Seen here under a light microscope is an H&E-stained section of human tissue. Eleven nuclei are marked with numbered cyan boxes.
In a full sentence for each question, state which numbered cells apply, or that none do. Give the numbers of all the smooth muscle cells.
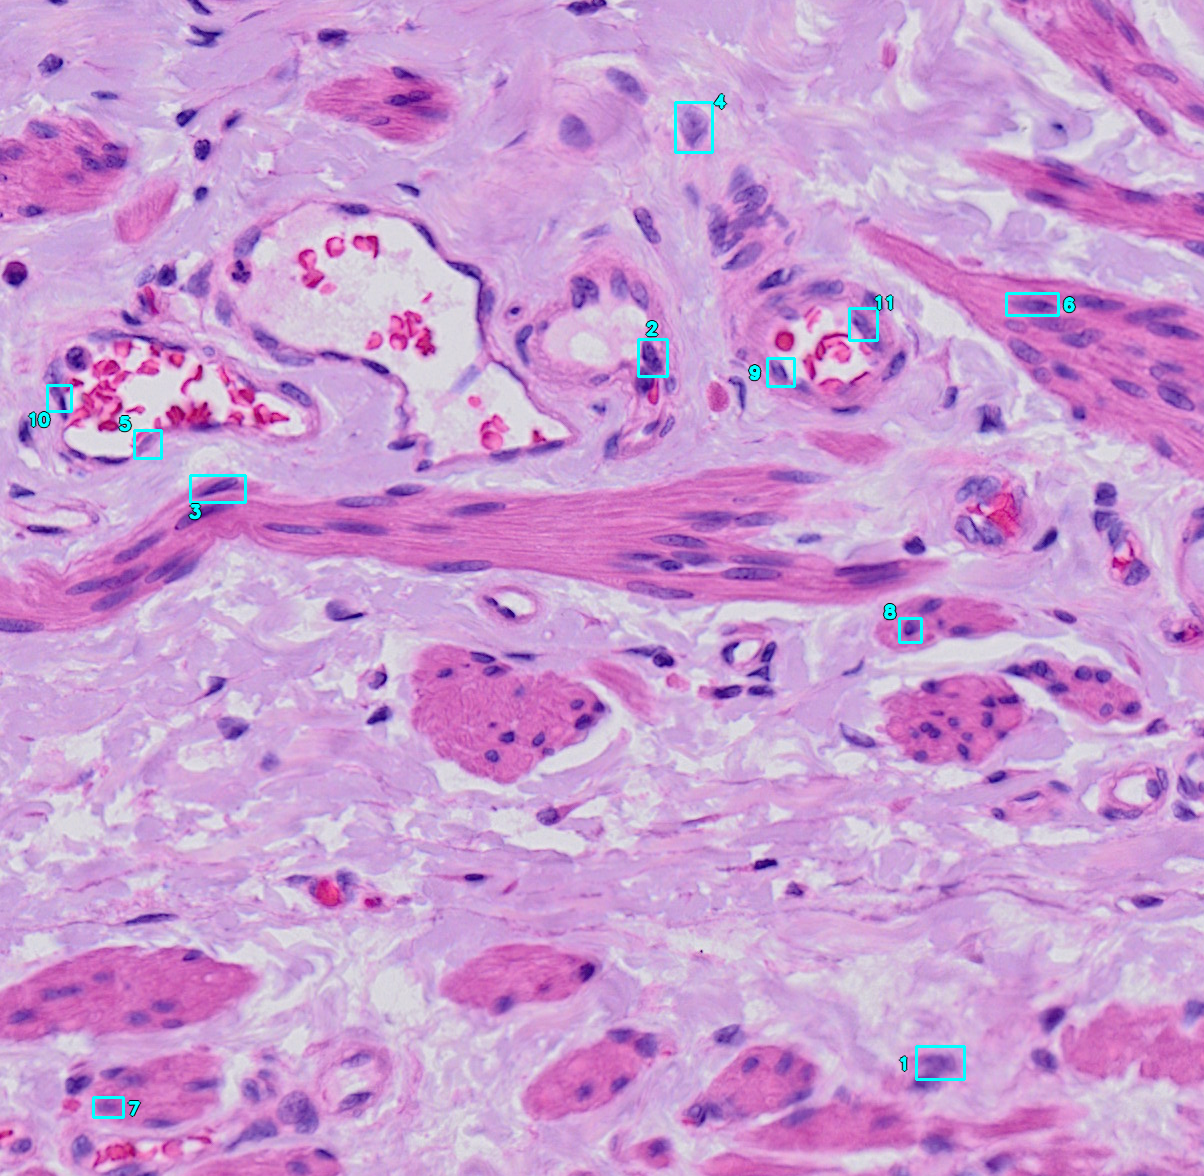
Cells 3, 6, 7 and 8 are of one type, namely smooth muscle cells.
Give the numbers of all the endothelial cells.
Cells 1, 2, 5, 9, 10 and 11 are of one type, namely endothelial cells.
